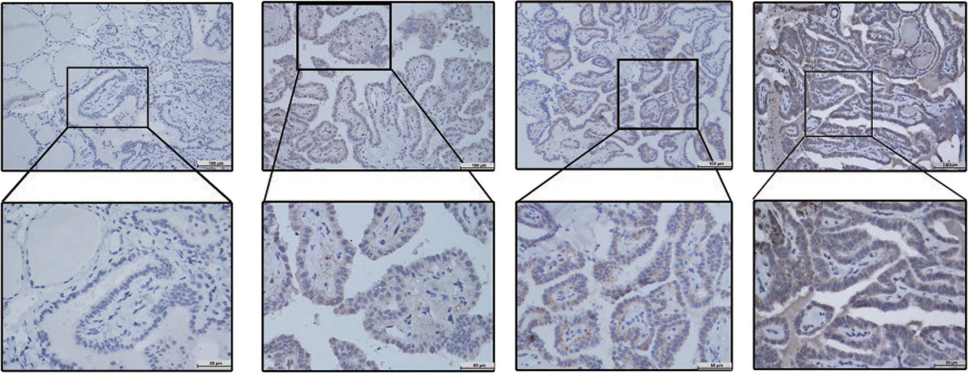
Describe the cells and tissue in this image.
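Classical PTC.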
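Tumour tissue in which epithelial cells with crowded, oval, blue-stained nuclei line branching fronds that have thin cores of stroma. Across the row the brown stain in the cell bodies goes from absent, through faint and moderate, to dense brown filling the cytoplasm around the nuclei. In the unstained example, pale round follicles with homogeneous content lie beside the tumour.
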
